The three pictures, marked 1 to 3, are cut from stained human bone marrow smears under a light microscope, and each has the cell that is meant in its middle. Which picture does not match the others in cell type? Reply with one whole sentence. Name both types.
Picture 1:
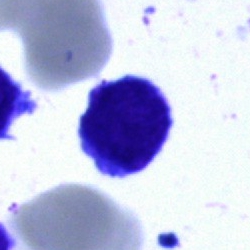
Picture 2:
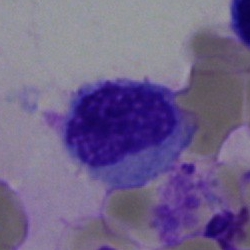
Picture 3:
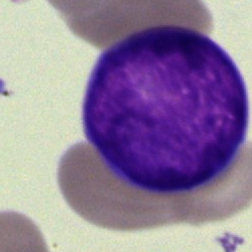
The others show lymphocytes, but picture 3 shows a blast.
